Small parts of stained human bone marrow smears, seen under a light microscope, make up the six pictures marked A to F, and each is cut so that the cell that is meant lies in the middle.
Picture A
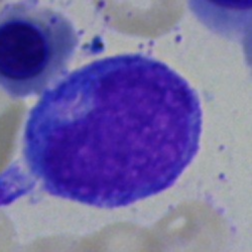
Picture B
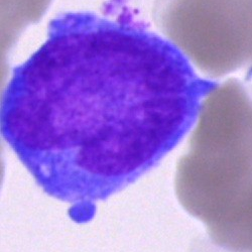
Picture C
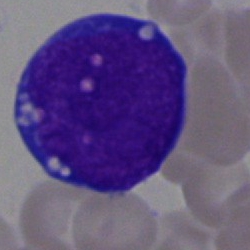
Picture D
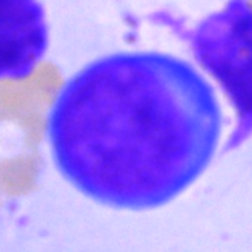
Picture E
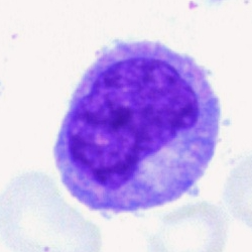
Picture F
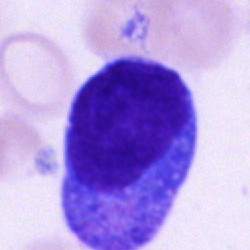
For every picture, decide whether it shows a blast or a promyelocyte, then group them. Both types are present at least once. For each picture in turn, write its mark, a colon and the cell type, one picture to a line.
A: blast
B: blast
C: blast
D: blast
E: promyelocyte
F: promyelocyte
